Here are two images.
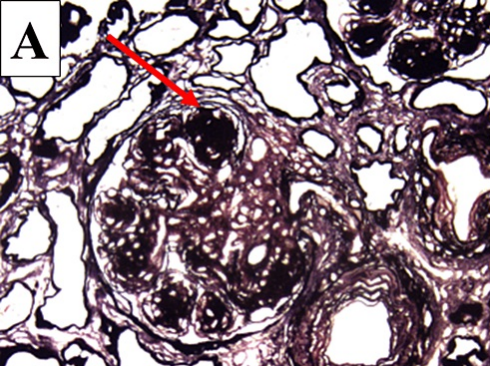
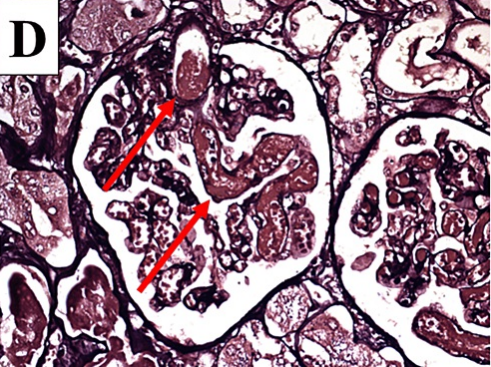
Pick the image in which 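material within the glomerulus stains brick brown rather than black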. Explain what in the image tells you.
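First image: the glomerular deposits are dense black nodules. Second image: smooth brick-brown material fills capillary loops, distinct from the black-grey walls.
Hence: the second image.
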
